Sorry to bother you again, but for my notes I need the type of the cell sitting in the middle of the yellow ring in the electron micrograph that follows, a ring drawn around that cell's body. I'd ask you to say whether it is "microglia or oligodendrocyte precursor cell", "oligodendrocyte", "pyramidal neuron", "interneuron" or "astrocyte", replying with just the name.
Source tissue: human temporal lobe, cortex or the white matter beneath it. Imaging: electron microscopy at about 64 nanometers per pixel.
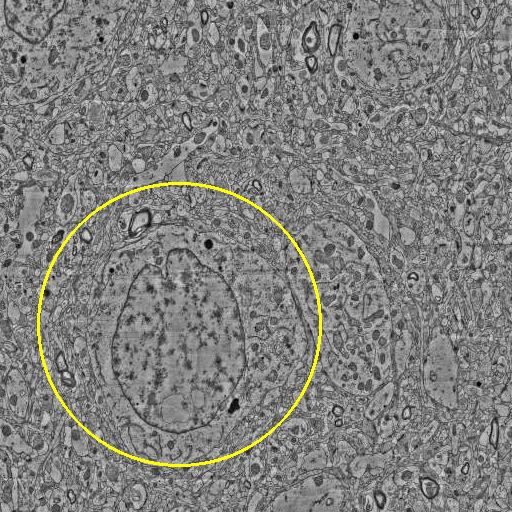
pyramidal neuron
